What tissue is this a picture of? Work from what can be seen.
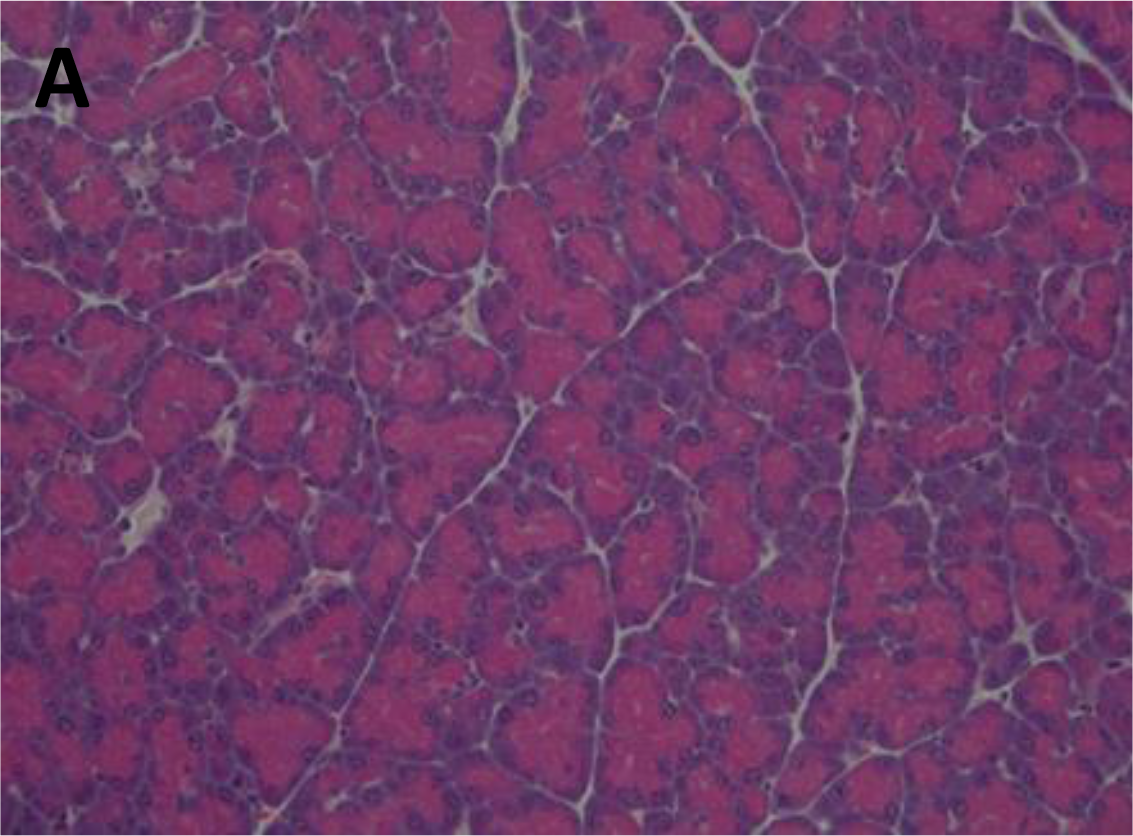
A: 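Closely packed acini with pink apical cytoplasm. Basally placed nuclei around small lumina. Thin septa between the lobules. So: pancreas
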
